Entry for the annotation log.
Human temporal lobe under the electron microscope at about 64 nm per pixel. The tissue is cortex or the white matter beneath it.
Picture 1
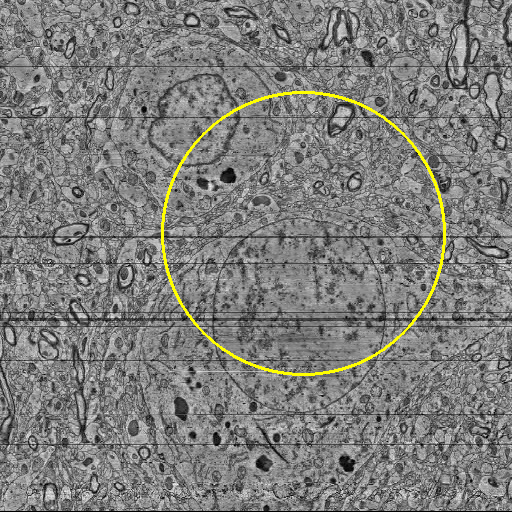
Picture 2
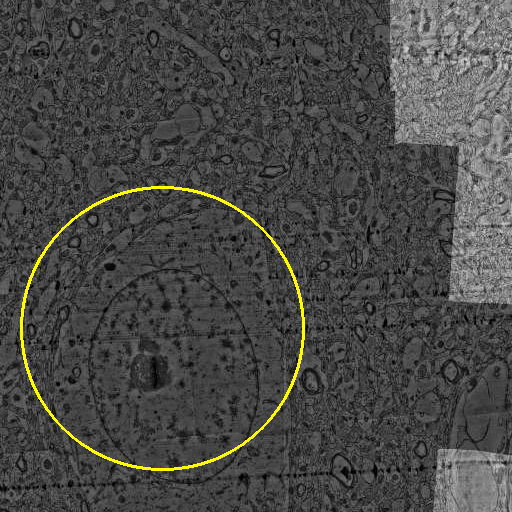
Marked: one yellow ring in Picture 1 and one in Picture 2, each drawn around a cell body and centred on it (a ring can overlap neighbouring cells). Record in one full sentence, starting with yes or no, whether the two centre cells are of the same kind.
Yes, both cells are of the same kind.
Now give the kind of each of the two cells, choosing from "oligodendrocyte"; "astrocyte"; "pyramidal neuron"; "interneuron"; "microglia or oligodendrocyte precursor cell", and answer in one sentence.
In each of the two pictures, the ringed cell is a pyramidal neuron.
